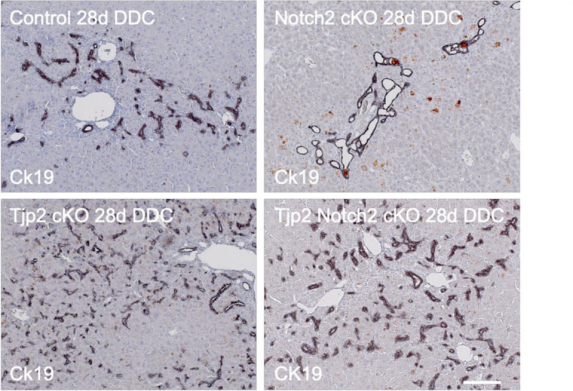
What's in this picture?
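Four fields of liver tissue show sheets of pale polygonal cells with blue-counterstained round nuclei, interrupted by round clear vessel lumina. Around these vessels lie brown-stained small ducts and cords. In one field only a few wide ducts with open clear lumina, lined by thin brown-stained cells, run along a vessel. In the other fields the brown structures form dense, branching networks of narrow cords and small ducts that reach out from the vessels into the surrounding tissue. Scattered small orange-brown granular deposits are also visible in the tissue.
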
